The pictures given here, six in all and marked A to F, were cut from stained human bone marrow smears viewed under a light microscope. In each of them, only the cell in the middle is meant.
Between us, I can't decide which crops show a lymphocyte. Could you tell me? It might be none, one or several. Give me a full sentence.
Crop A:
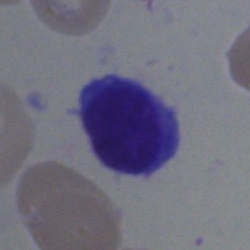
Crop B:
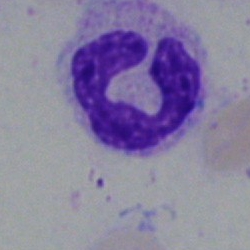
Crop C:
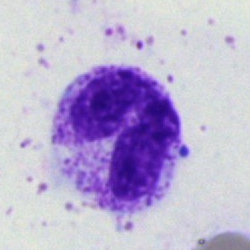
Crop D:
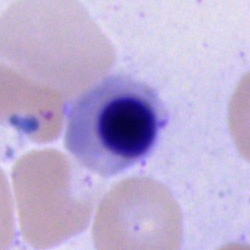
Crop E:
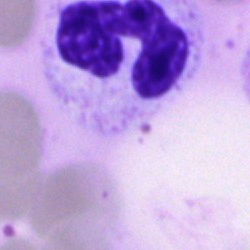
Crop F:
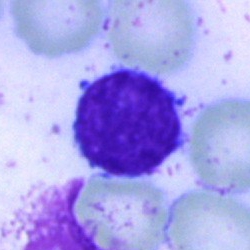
Here, the cells at the centre of crops A and F are lymphocytes.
